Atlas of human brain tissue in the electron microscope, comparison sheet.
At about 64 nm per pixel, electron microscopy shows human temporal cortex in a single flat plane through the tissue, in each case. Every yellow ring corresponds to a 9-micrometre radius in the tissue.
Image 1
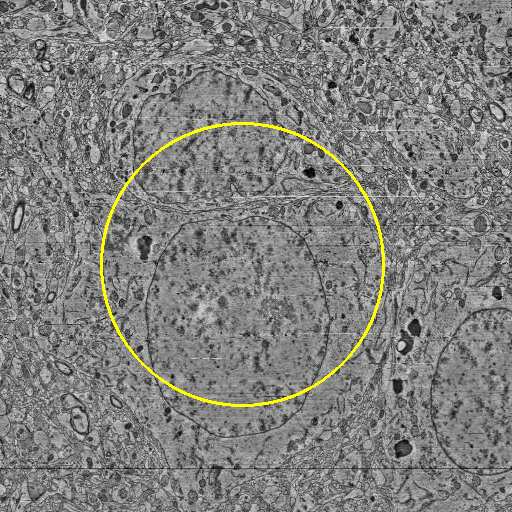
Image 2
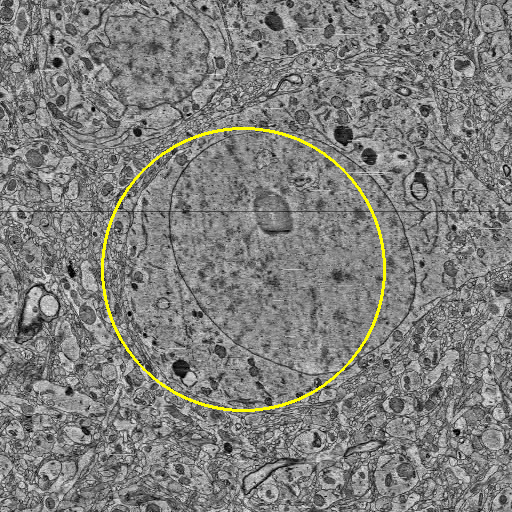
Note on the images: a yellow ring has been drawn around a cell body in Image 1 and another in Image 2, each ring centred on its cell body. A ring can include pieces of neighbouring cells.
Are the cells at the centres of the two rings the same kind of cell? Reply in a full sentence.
Yes, both cells are of the same kind.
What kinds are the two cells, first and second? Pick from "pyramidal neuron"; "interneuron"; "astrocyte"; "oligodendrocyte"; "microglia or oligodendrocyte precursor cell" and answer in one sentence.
In both pictures the ring is centred on a pyramidal neuron.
